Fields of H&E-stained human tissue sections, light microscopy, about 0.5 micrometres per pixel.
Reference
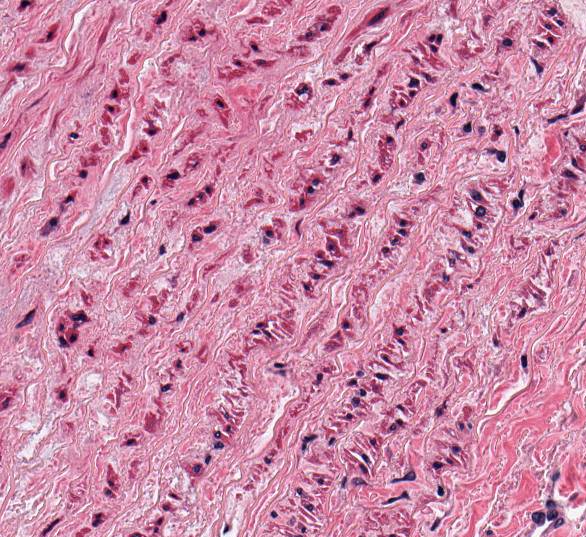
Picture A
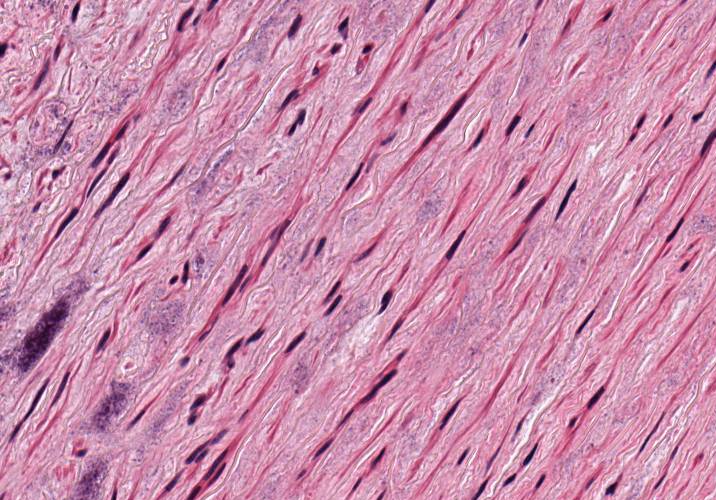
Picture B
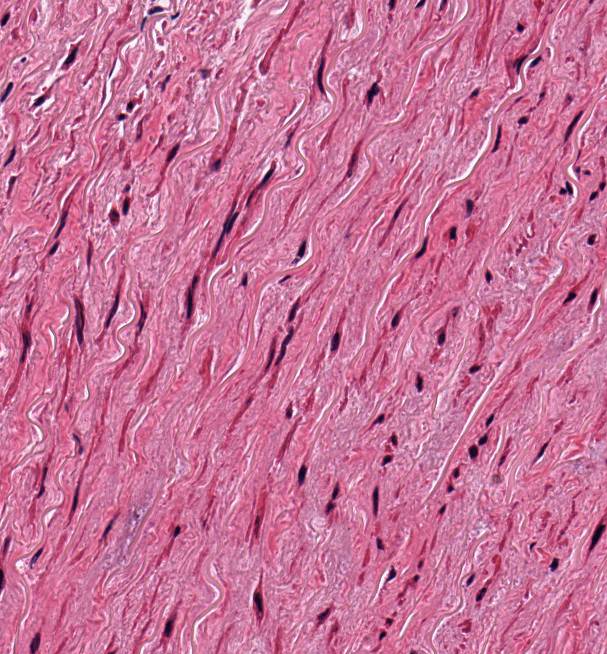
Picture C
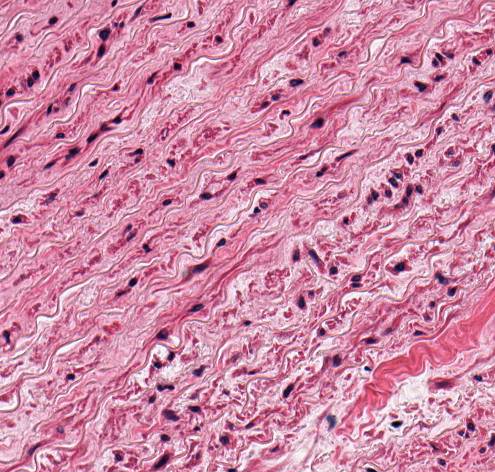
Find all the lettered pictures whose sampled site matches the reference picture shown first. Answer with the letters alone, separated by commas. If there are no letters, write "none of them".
A, B, C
